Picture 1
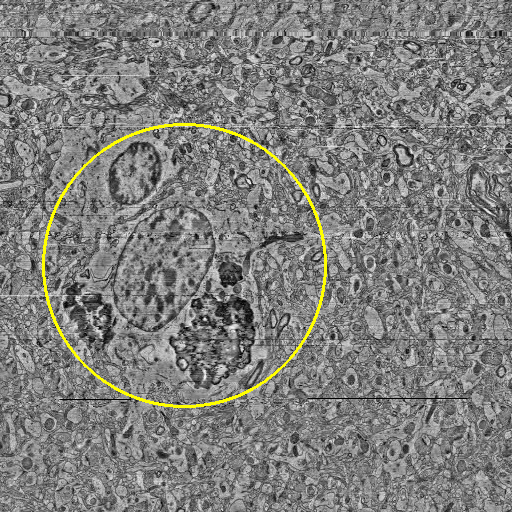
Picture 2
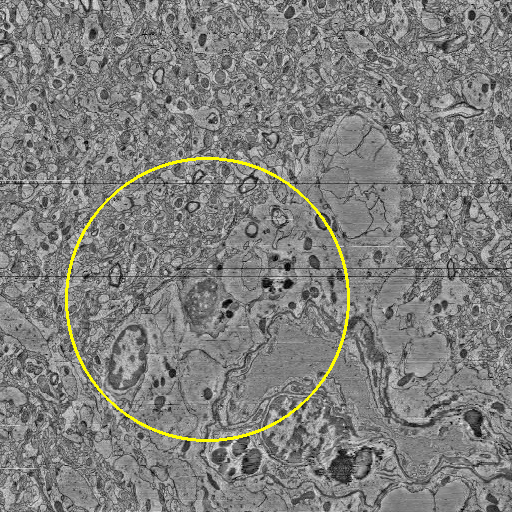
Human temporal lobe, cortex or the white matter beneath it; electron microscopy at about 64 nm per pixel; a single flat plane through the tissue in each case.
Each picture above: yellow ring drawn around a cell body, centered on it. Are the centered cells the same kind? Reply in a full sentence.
No, the two cells are two kinds of cell.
